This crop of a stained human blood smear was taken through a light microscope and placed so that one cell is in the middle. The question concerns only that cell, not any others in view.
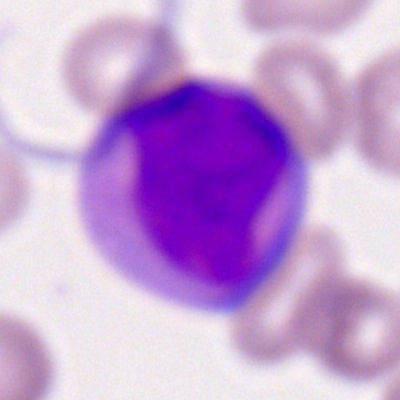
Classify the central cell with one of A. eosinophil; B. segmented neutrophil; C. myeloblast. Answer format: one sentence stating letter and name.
Given that the cell in the middle is a myeloblast, option C is correct.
